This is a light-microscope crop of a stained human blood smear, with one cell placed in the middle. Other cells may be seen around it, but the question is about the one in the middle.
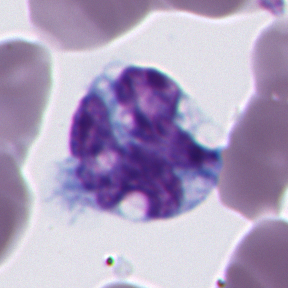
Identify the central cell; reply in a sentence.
In the crop, the cell of interest at the centre is a monocyte.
